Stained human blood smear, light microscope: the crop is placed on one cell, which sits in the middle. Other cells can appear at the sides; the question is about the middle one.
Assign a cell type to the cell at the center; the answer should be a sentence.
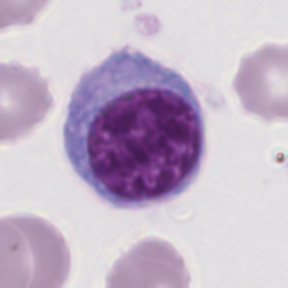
Positioned in the middle of the crop is a plasma cell.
